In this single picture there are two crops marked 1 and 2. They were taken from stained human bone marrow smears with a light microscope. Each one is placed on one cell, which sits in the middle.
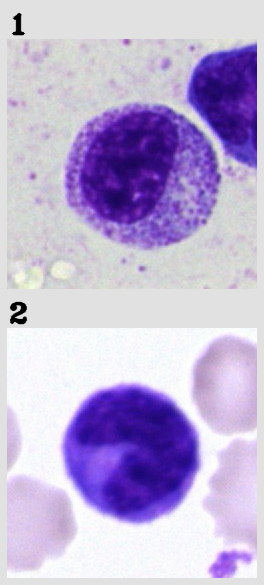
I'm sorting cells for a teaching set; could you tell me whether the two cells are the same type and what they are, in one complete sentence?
No, a myelocyte is shown in crop 1 and a monocyte in crop 2.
